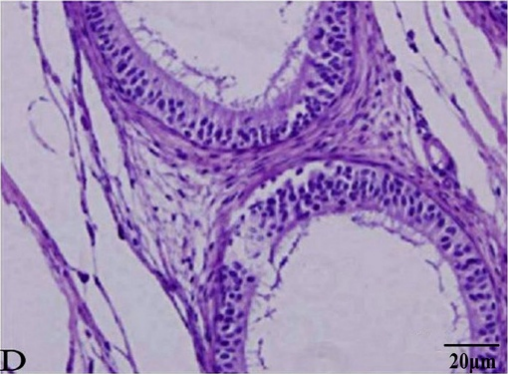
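These are ducts of the epididymis, each lined by a tall epithelium whose oval purple nuclei sit at several heights, giving a layered look. Fine hair-like projections rise from the cell surfaces into the lumen, which is empty and pale. A thin layer of spindle-shaped cells and loose connective tissue wraps around each duct.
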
